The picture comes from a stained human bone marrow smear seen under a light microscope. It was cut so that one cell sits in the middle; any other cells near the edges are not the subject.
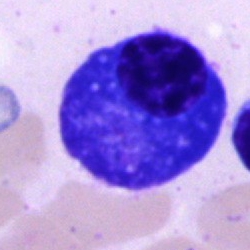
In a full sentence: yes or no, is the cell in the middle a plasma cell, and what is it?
Yes, as regards the cell in the middle, it is a plasma cell.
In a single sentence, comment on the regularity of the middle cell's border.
Smooth edges only, with no spikes, blebs, or other projections.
